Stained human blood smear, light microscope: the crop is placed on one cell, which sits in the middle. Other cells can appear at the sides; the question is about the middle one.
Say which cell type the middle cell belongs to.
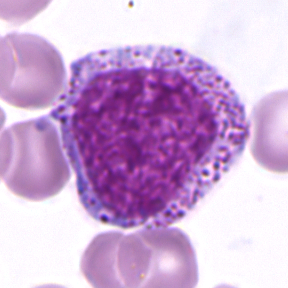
promyelocyte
